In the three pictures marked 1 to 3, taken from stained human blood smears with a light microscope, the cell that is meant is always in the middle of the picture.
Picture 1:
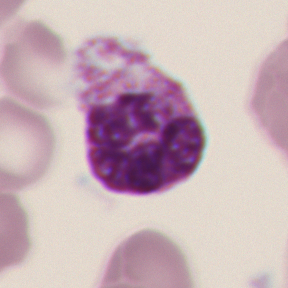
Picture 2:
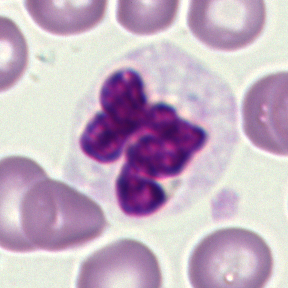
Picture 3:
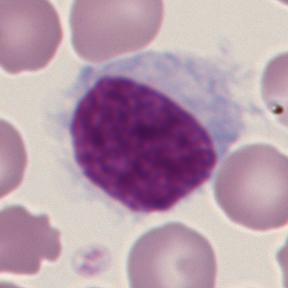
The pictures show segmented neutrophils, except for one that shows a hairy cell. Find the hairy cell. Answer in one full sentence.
It is picture 3 that shows the hairy cell.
